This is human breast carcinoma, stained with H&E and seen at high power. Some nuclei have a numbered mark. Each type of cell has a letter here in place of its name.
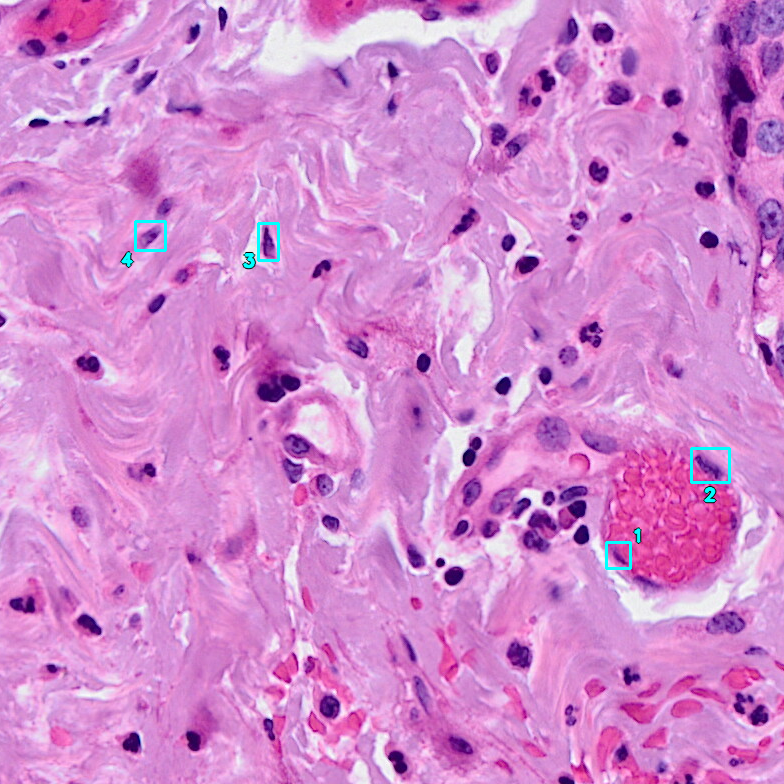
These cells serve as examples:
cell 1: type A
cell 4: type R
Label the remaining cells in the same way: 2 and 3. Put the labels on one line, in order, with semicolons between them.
type A; type R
